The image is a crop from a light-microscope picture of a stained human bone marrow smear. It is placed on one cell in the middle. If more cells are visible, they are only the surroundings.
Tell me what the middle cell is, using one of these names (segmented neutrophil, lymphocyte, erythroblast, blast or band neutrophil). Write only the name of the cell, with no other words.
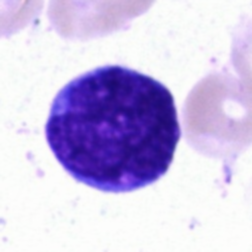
blast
